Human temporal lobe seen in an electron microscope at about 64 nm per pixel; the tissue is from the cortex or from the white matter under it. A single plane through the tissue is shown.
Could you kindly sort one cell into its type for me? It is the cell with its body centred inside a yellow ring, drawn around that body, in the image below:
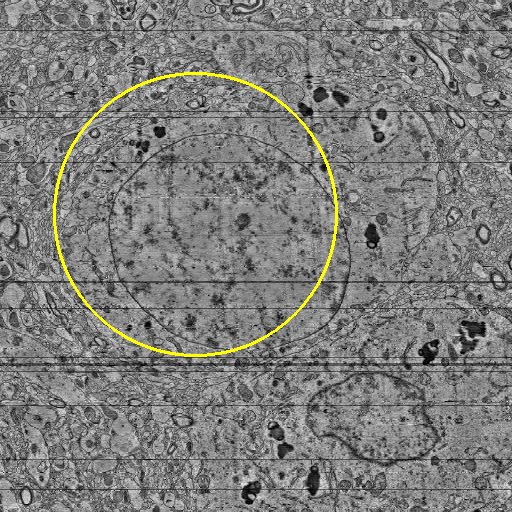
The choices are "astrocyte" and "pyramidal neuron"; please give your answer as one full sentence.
The cell whose body lies centred in the yellow ring here is a pyramidal neuron.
